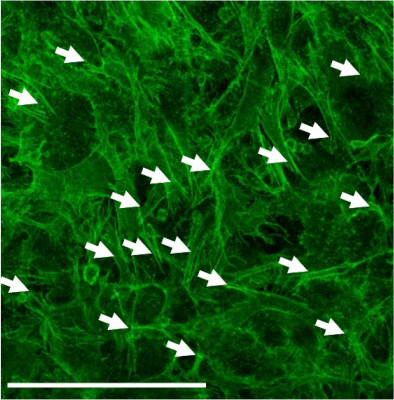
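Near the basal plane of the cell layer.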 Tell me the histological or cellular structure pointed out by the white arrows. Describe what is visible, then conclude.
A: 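The marked tips lie within a dense, overlapping cell layer.
Conclusion: cryptic lamellipodia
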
